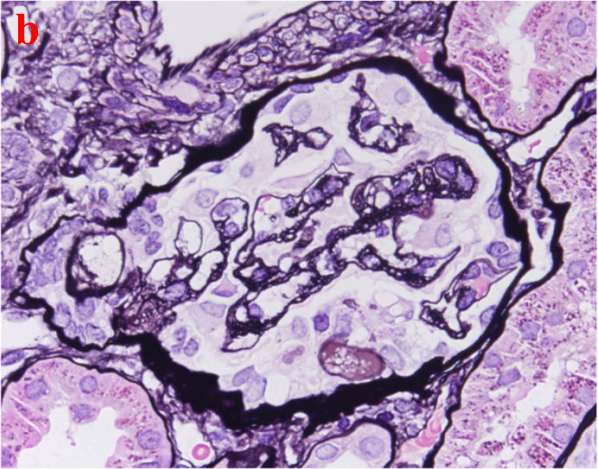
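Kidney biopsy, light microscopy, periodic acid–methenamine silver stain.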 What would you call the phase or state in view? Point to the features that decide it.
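The capillary tuft is shrunken and wrinkled, with few open lumina. The tuft is surrounded by pale, enlarged epithelial cells filling Bowman's space. Bowman's capsule is thick and black.
Answer: collapsing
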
